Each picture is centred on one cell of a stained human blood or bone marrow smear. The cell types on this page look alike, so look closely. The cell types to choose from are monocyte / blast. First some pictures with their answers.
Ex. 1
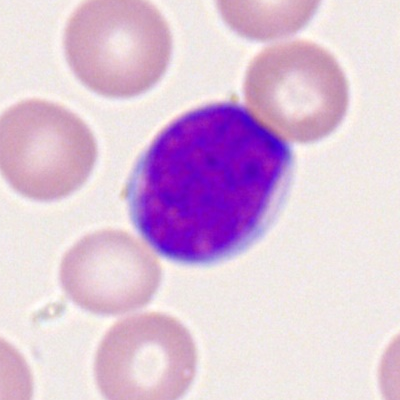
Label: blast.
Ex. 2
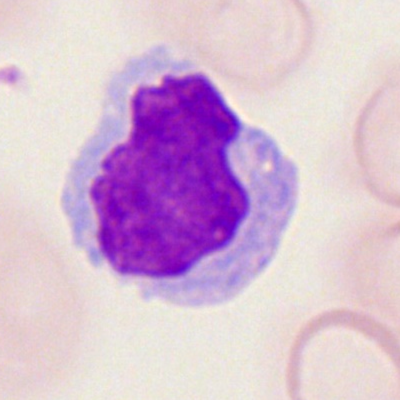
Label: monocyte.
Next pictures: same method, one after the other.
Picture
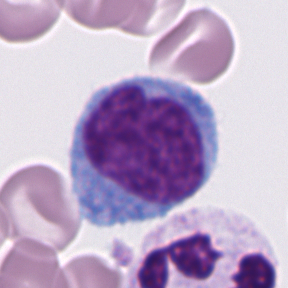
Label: monocyte.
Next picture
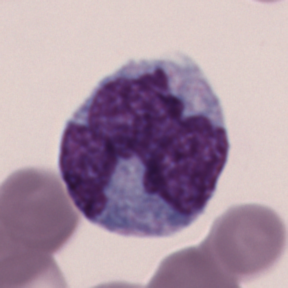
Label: monocyte.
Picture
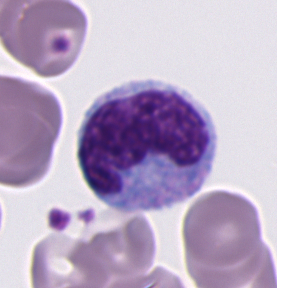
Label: monocyte.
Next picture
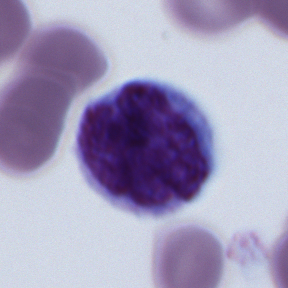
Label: monocyte.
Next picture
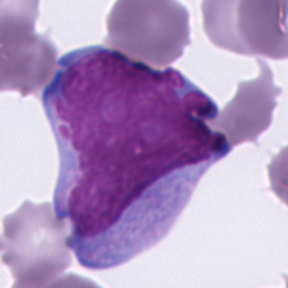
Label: blast.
